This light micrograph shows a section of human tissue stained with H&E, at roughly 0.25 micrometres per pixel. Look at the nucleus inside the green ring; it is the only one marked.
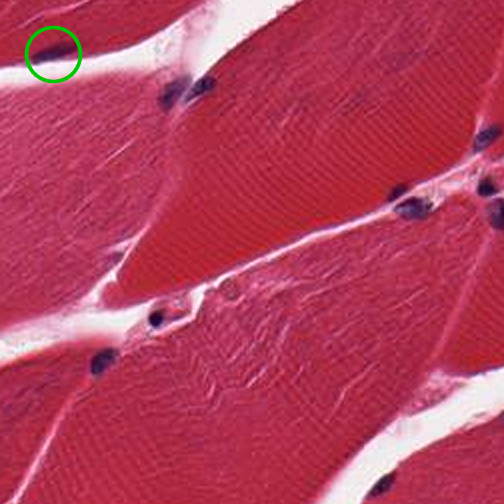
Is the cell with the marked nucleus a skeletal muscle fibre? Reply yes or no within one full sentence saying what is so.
Yes, the nucleus singled out in the image belongs to a skeletal muscle fibre.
